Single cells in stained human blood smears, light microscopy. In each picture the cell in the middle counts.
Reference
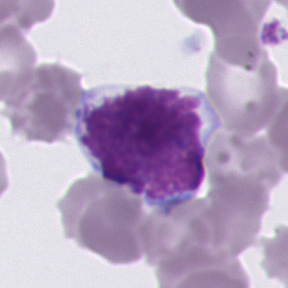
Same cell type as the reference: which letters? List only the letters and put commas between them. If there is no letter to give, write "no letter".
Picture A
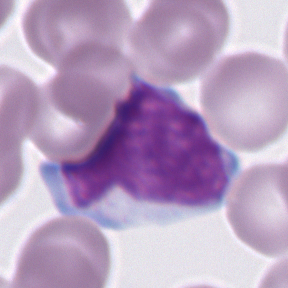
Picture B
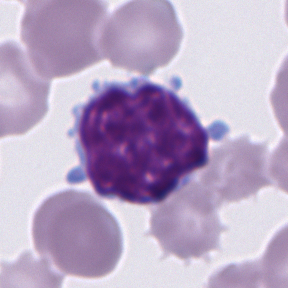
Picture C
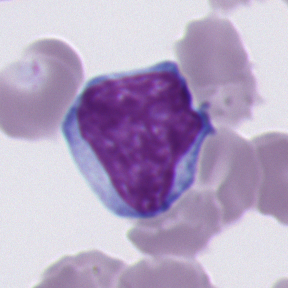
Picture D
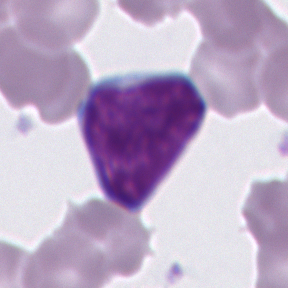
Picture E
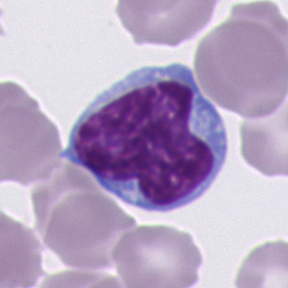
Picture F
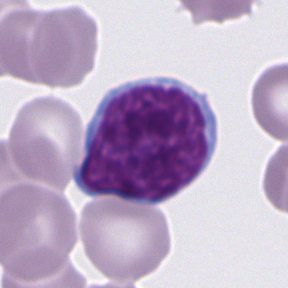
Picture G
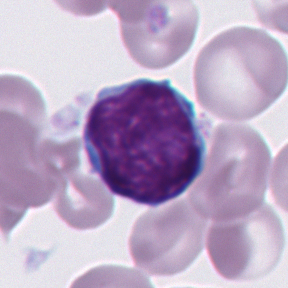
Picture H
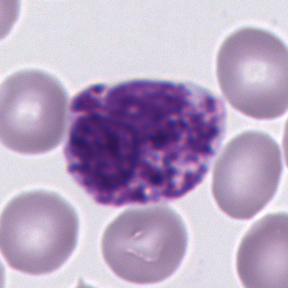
A, B, C, D, E, F, G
